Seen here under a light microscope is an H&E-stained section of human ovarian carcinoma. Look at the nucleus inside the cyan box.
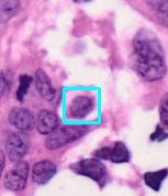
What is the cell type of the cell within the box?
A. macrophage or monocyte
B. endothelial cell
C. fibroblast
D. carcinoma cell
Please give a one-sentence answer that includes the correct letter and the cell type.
Option D is accurate, for the cell within the box is a carcinoma cell.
